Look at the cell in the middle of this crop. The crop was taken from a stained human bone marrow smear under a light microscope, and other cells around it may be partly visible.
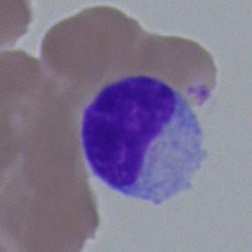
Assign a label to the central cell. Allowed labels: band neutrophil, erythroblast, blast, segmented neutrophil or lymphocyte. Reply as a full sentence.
The middle of this crop holds a lymphocyte.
